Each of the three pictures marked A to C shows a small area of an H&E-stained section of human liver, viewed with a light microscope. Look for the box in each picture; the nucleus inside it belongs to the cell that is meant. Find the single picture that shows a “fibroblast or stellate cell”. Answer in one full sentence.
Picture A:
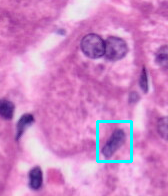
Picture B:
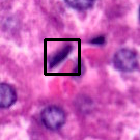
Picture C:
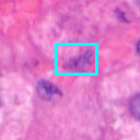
The cell in picture A is the “fibroblast or stellate cell”.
